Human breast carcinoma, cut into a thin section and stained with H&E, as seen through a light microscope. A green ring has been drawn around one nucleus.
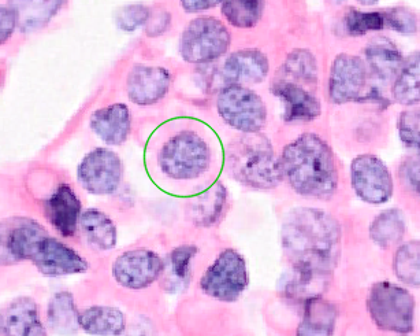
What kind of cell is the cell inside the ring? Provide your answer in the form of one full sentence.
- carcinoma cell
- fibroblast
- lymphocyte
In cell-type terms, the cell inside the ring is a carcinoma cell.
